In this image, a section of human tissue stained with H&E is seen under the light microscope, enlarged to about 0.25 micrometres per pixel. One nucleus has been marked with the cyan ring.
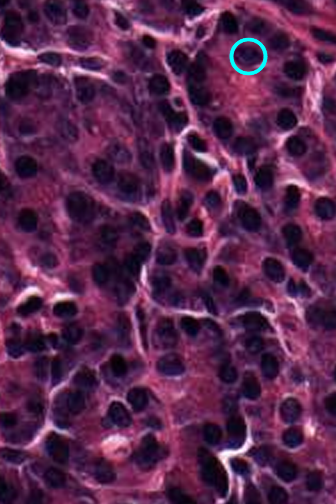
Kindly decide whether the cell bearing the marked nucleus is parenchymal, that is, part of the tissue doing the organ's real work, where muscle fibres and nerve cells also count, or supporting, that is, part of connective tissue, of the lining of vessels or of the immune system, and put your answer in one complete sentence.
On this slide the marked nucleus belongs to a parenchymal cell, namely a pancreatic acinar cell.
